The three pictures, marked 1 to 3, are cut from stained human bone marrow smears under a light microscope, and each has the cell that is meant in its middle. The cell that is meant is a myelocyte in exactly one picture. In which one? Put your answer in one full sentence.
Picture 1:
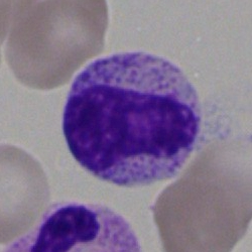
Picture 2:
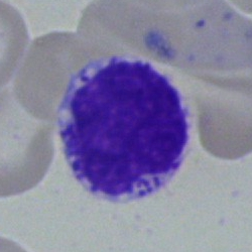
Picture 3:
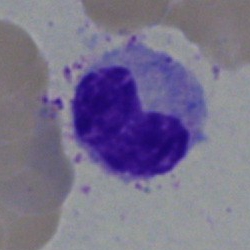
The myelocyte is the one in picture 2.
